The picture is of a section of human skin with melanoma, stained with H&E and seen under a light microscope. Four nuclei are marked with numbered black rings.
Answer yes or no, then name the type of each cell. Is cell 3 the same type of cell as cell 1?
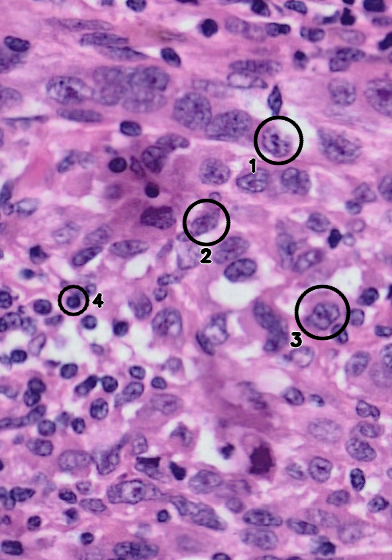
Yes, and to be precise, cells 3 and 1 are both melanoma cells.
